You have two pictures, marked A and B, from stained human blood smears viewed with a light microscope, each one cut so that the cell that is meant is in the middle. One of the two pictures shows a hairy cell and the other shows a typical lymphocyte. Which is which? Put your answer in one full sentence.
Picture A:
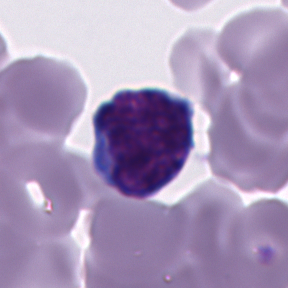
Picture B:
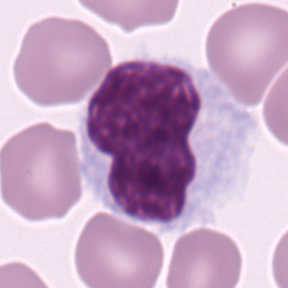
In picture A the cell is a typical lymphocyte; in picture B, a hairy cell.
